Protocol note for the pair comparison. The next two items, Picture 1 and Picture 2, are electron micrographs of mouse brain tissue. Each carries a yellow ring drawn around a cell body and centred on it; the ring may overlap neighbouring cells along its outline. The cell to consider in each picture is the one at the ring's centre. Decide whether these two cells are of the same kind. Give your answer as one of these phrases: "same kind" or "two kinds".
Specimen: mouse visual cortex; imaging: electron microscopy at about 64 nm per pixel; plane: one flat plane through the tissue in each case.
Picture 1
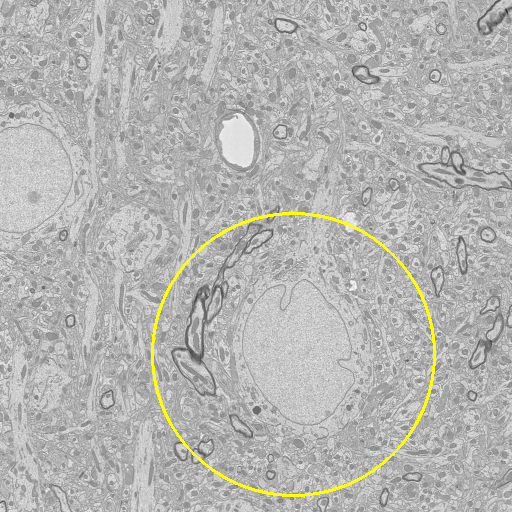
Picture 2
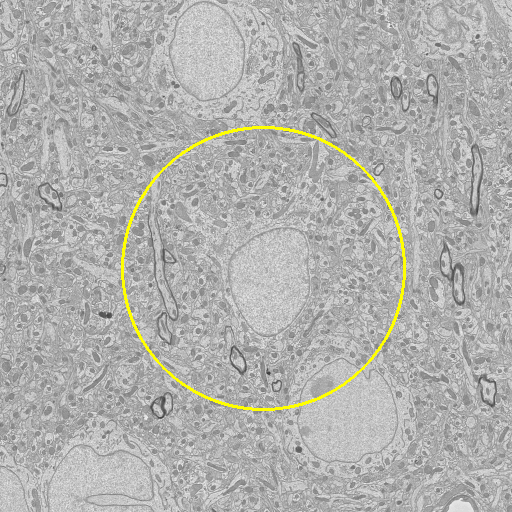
two kinds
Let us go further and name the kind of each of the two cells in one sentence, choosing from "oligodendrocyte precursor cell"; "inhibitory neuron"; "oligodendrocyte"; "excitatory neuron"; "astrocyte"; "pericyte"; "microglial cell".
The ring of the first picture is on an excitatory neuron, the ring of the second on an astrocyte.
